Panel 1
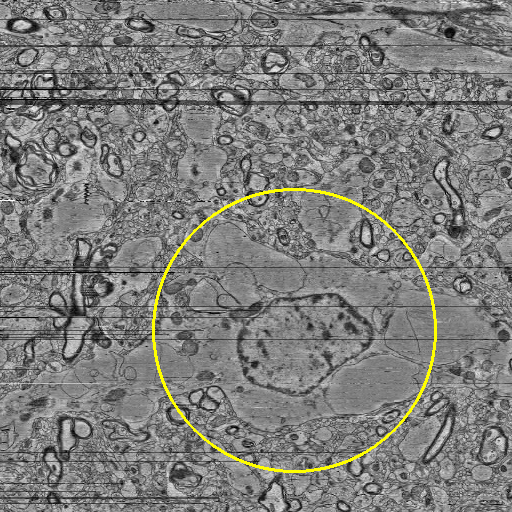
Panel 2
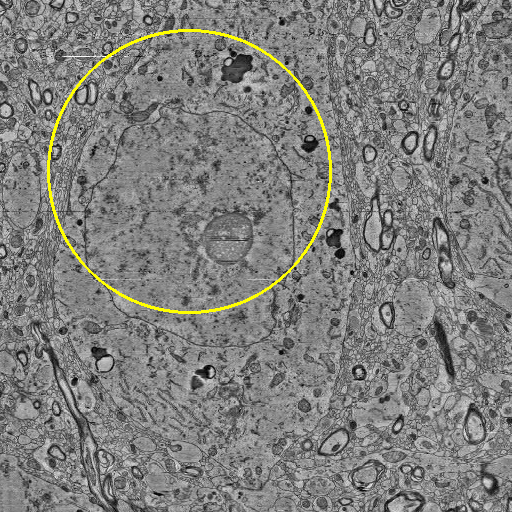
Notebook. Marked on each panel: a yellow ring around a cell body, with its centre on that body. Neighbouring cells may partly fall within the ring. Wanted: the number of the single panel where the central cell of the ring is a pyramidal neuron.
2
